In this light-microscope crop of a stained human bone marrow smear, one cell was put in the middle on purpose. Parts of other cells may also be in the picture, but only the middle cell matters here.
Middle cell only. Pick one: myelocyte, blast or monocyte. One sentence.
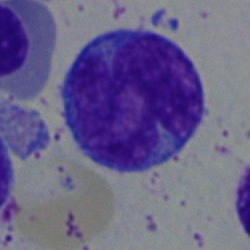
Classified as a blast is the cell in the middle of this crop.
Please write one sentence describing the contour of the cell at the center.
No surface projections are present; the cell outline is smooth.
